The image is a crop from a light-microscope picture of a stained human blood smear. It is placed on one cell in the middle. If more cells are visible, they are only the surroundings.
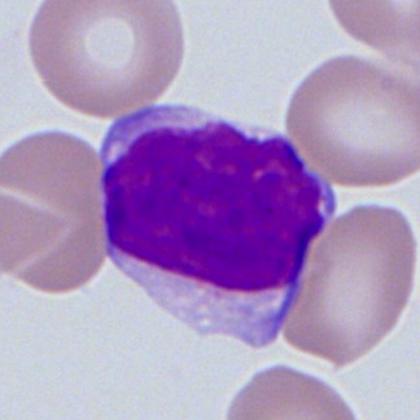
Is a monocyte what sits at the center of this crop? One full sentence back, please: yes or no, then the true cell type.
No, instead of a monocyte, the middle cell is a lymphocyte.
